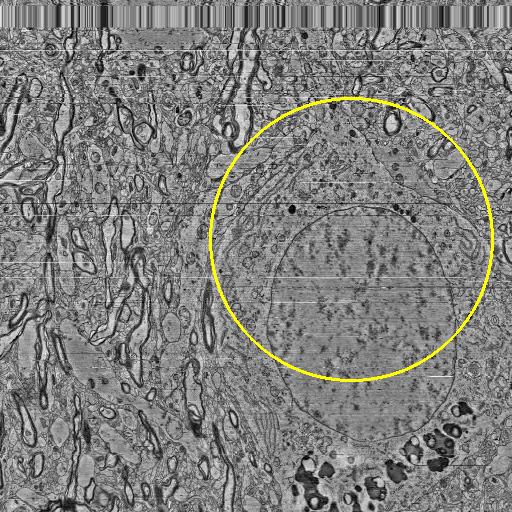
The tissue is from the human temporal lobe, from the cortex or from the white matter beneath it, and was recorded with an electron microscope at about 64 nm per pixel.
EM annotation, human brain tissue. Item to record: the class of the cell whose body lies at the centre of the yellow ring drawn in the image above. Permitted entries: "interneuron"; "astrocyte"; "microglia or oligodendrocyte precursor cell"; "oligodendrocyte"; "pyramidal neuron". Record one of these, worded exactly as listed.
pyramidal neuron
